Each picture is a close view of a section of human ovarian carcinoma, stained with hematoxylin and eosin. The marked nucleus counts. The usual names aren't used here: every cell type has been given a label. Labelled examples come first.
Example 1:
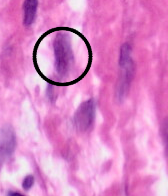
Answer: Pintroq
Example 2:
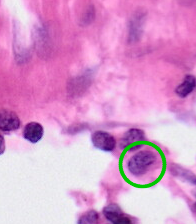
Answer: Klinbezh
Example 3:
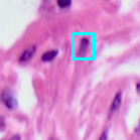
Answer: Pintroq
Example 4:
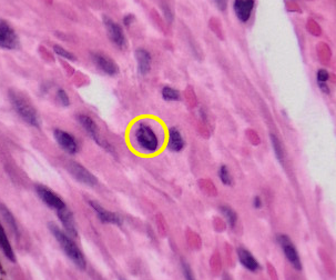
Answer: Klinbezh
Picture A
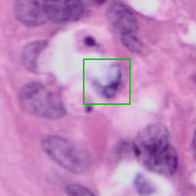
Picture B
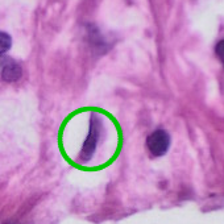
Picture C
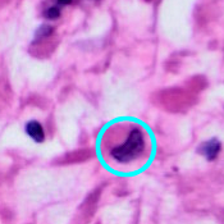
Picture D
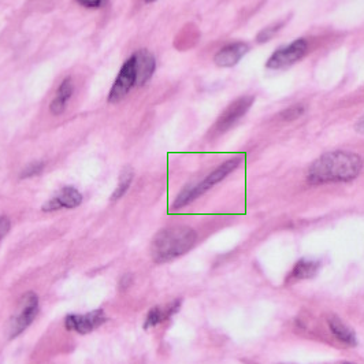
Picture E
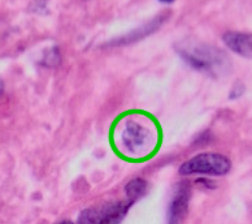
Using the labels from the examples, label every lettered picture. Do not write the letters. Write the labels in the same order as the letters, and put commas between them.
Klinbezh, Pintroq, Klinbezh, Pintroq, Klinbezh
